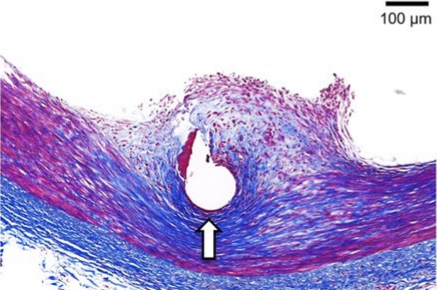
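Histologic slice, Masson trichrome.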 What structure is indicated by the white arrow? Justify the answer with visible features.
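The arrow points to a round empty hole lying within the tissue wall. Tissue around the hole is wrapped in blue-stained fibres.
Conclusion: stent struts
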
